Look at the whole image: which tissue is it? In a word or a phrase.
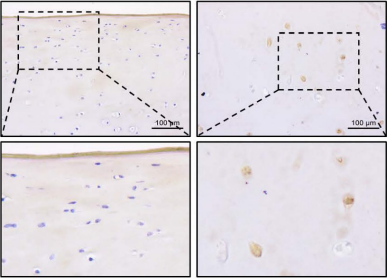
Cartilage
